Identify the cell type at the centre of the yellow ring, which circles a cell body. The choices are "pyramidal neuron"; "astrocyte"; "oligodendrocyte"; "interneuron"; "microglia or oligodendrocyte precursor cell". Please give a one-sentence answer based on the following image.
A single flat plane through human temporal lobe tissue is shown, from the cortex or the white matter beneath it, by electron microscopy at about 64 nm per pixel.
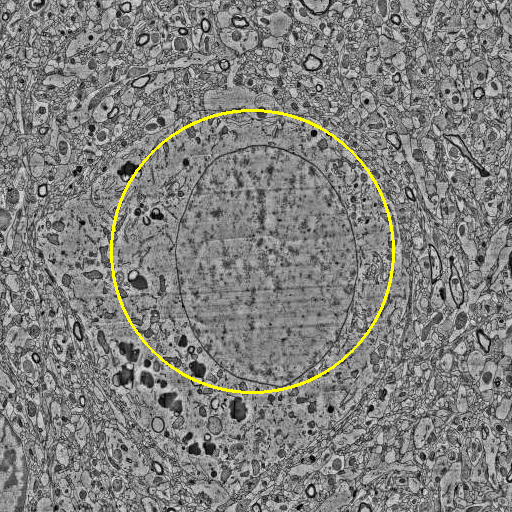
The cell marked by the ring is a pyramidal neuron.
